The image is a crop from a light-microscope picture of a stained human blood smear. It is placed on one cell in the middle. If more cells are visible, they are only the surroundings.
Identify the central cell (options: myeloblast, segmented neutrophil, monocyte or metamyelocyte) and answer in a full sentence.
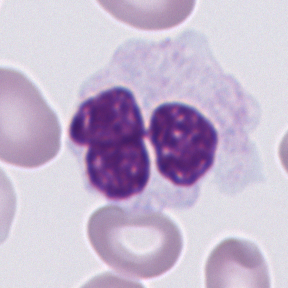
Of the cells in this crop, the central one is a segmented neutrophil.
